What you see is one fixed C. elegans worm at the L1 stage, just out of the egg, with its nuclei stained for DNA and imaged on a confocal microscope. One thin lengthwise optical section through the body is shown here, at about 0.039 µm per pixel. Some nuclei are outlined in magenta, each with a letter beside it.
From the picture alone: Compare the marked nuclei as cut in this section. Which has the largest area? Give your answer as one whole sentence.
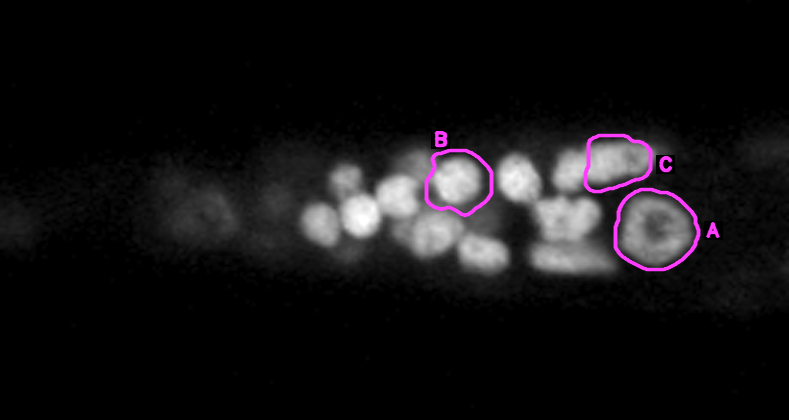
Of the marked nuclei, A is the biggest in this section.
